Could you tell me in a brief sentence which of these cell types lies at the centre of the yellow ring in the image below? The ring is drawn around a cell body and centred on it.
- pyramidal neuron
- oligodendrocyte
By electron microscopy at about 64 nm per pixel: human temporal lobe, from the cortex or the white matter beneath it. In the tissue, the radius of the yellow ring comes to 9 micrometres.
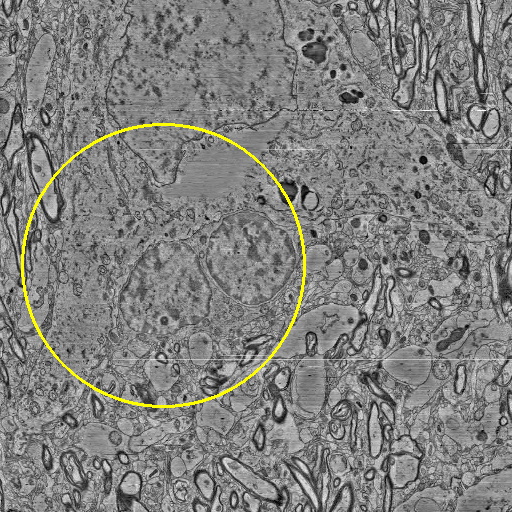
The cell centred in the ring is an oligodendrocyte.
